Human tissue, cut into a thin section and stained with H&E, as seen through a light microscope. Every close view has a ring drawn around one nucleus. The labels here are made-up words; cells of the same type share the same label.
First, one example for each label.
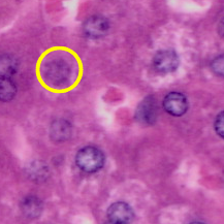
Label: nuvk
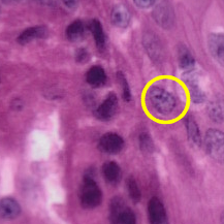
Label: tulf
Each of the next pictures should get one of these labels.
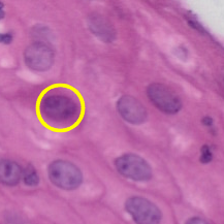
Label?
tulf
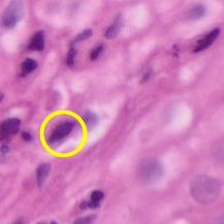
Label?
tulf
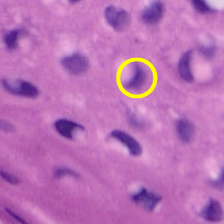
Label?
tulf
